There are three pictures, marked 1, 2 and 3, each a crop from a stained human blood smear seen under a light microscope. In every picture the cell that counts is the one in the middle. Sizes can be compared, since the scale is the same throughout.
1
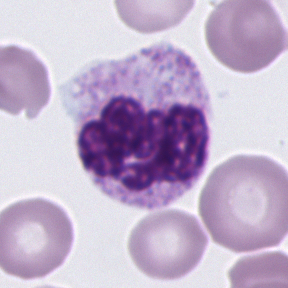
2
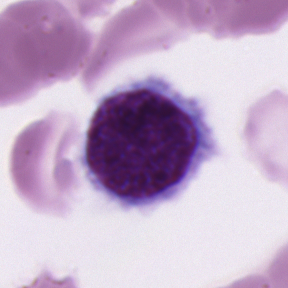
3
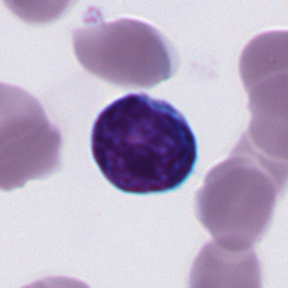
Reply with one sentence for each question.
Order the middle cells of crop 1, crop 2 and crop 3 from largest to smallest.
Going down, they run 1, 2, 3.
